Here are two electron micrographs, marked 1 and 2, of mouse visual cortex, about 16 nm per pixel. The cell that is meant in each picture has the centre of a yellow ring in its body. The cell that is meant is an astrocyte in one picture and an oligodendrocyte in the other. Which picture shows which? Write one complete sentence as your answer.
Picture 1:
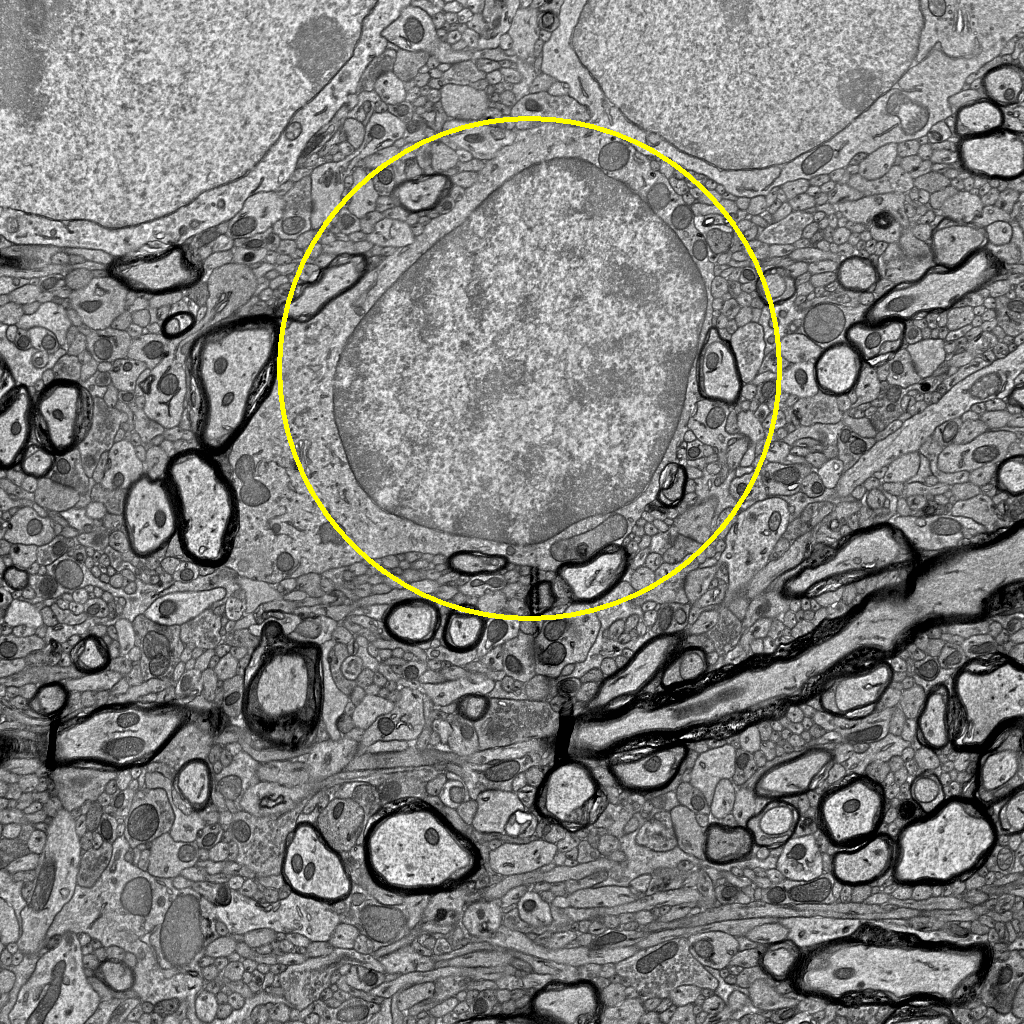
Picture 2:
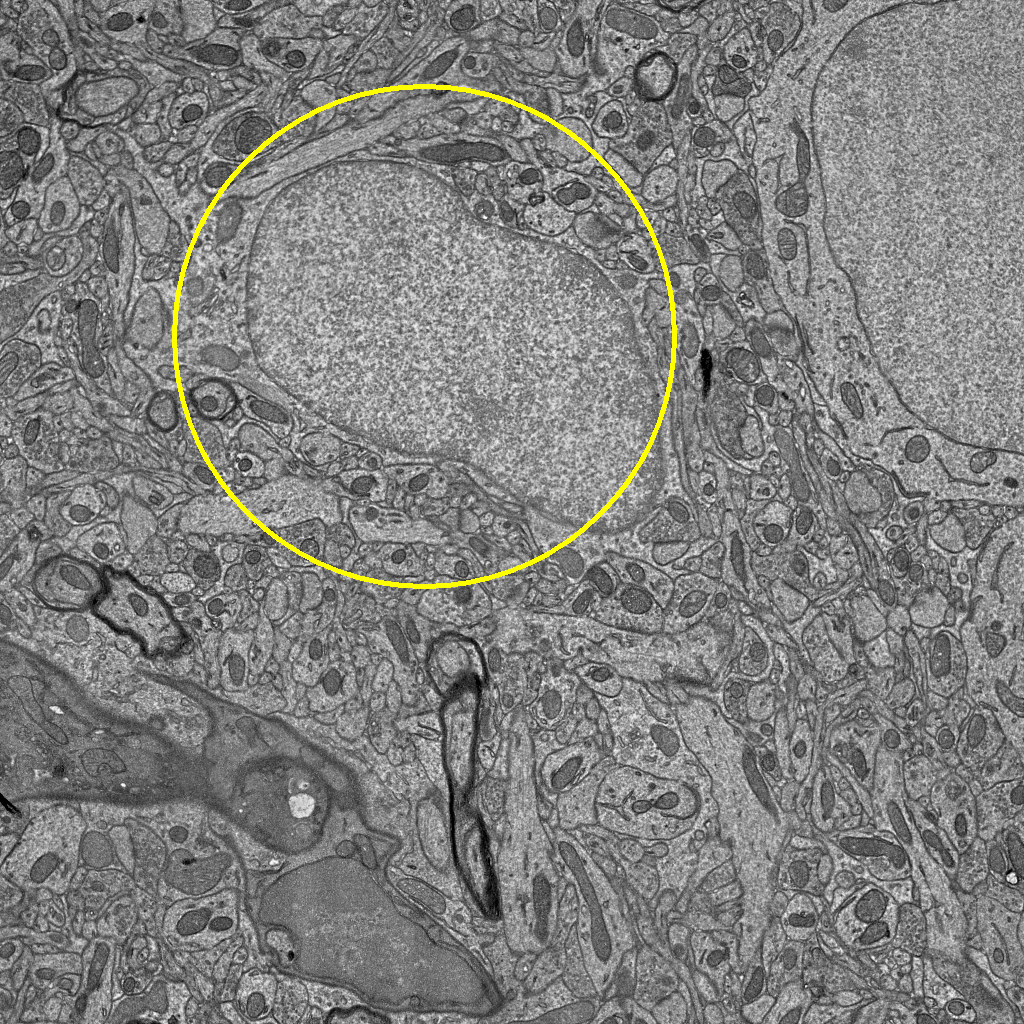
It is picture 1 that shows an oligodendrocyte, and picture 2 that shows an astrocyte.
